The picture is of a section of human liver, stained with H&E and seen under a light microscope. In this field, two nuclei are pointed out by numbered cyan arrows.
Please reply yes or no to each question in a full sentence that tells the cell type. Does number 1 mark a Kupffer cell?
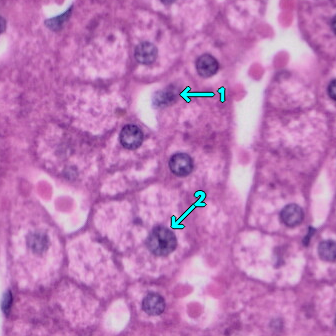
Yes, with respect to number 1, the cell is a Kupffer cell.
